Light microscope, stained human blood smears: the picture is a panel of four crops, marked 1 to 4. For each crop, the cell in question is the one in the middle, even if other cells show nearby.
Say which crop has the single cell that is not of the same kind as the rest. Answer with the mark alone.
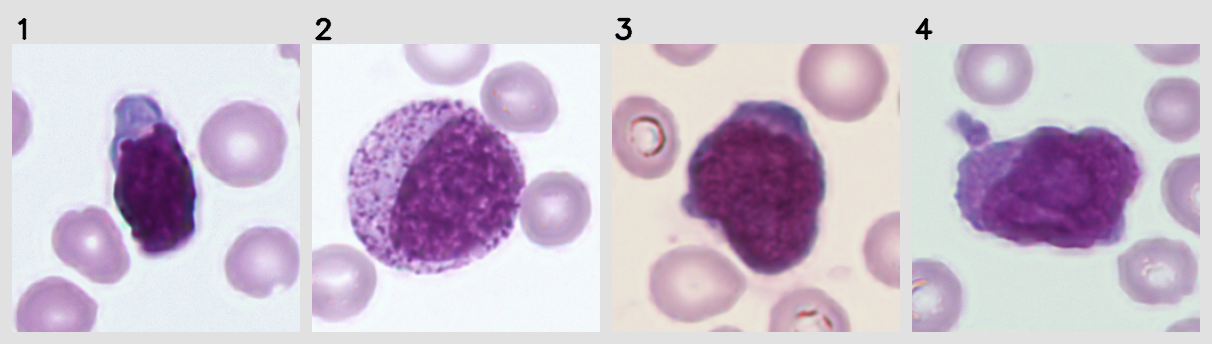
2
